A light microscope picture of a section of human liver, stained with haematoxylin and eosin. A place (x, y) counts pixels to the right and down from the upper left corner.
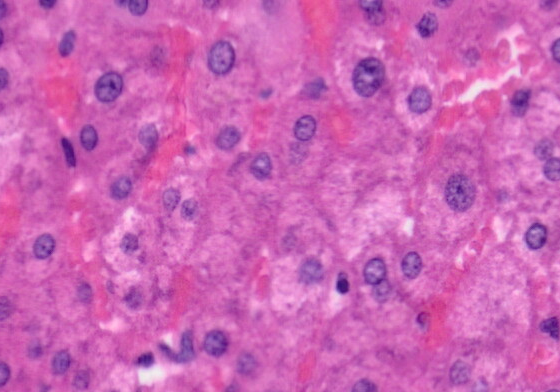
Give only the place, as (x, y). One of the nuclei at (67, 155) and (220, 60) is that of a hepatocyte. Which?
(220, 60)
